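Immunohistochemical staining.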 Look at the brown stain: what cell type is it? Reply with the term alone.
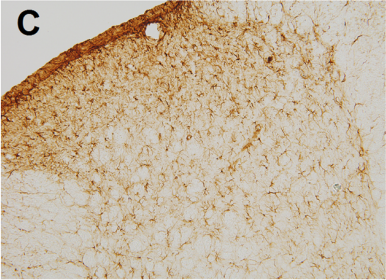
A: Astrocytes.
